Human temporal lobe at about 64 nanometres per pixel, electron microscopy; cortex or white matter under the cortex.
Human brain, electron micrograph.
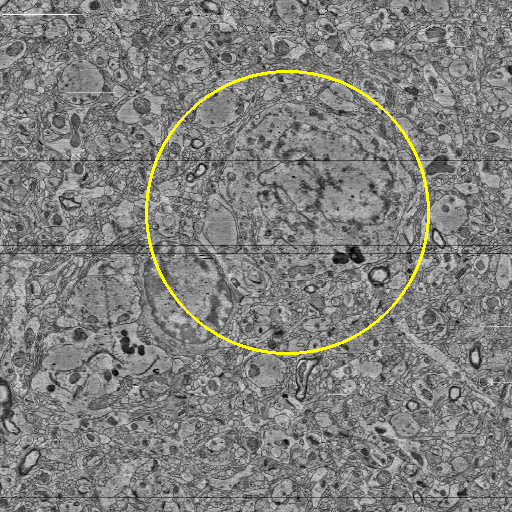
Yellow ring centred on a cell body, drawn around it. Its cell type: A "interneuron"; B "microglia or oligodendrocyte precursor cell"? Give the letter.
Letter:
A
